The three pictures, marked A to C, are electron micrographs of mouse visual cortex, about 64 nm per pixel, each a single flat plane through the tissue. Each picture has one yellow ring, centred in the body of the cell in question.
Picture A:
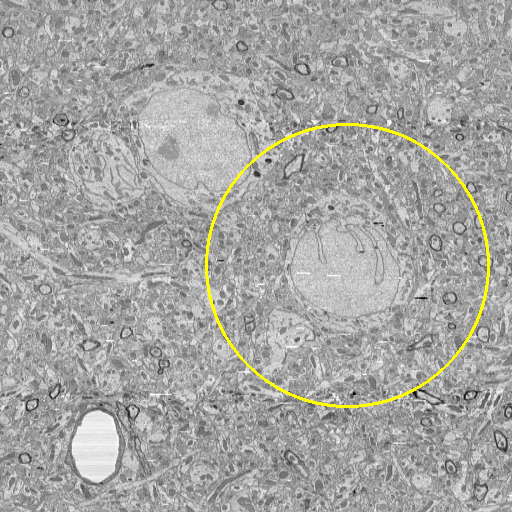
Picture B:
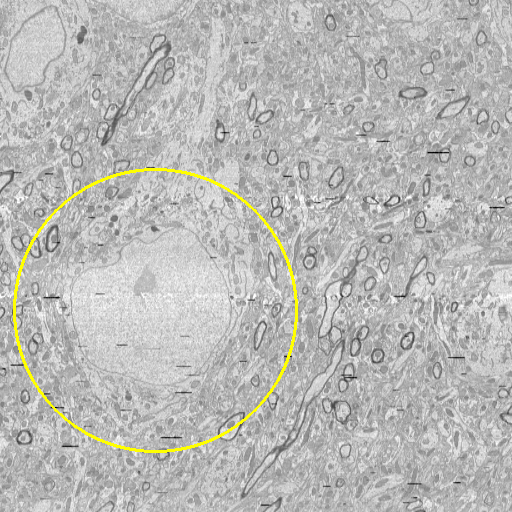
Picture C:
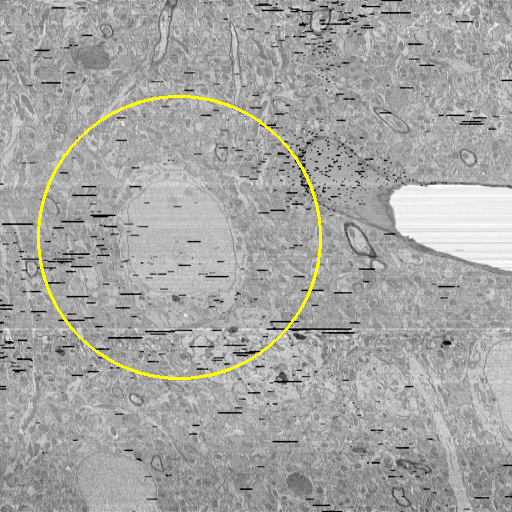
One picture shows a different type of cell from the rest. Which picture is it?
All pictures except A show excitatory neurons; picture A shows an inhibitory neuron.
